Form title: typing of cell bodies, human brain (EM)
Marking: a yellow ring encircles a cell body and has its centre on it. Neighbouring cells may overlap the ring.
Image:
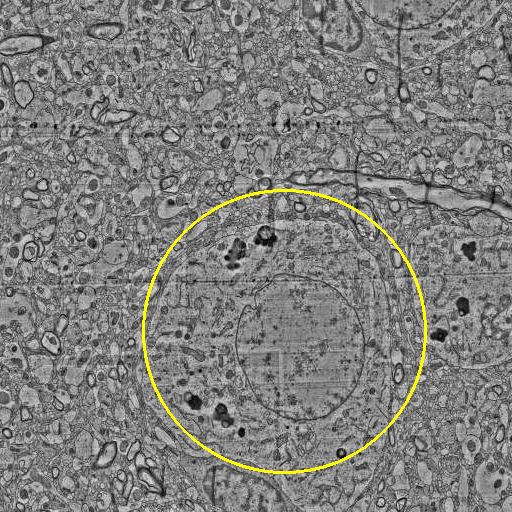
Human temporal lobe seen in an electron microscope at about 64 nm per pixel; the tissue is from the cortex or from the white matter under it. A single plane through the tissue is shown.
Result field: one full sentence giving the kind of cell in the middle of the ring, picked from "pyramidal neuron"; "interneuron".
In the picture, the ring is centred on a pyramidal neuron, whose cell body it encircles.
